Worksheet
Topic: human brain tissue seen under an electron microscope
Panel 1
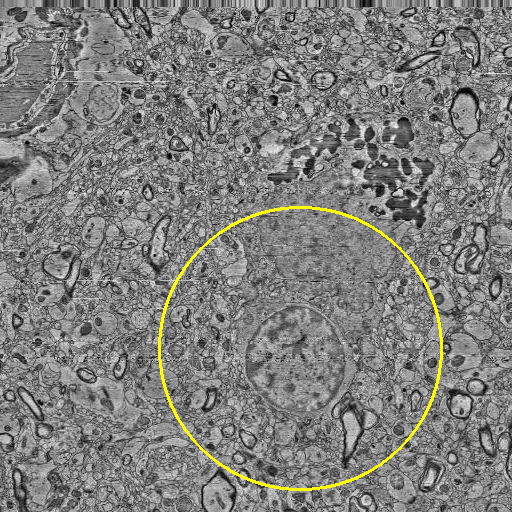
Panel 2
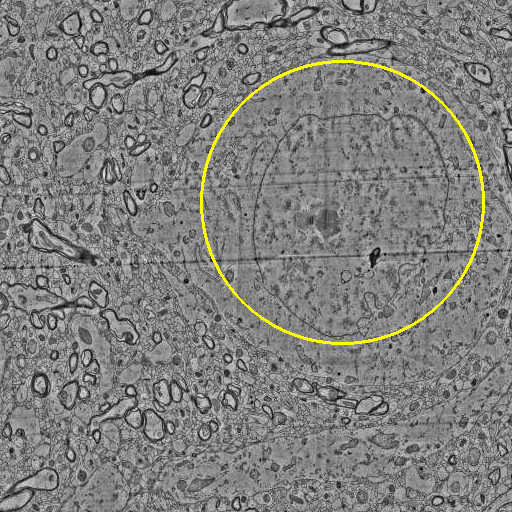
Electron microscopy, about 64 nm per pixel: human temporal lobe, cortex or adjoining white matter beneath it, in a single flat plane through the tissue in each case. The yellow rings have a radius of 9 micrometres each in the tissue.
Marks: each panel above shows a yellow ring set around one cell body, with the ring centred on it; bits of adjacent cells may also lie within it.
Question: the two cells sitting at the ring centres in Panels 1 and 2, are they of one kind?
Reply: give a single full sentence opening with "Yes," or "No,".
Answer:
No, the two ring-centre cells in Panel 1 and Panel 2 are of two kinds.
